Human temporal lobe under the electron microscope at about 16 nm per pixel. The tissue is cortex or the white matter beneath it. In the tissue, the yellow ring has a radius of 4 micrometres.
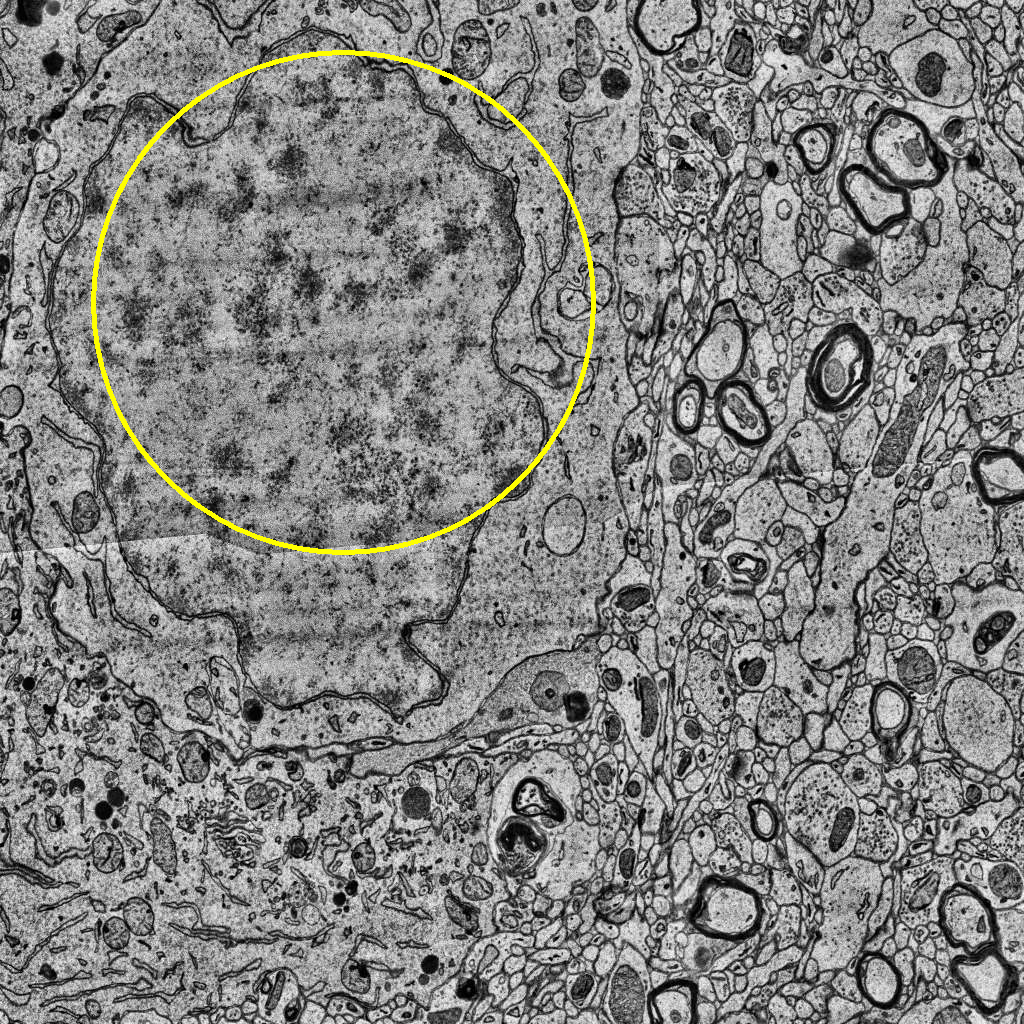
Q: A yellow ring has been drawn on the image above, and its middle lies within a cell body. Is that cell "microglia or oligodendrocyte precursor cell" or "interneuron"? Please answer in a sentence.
The ring's middle lies in the cell body of an interneuron.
